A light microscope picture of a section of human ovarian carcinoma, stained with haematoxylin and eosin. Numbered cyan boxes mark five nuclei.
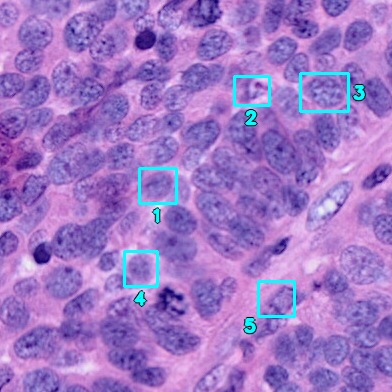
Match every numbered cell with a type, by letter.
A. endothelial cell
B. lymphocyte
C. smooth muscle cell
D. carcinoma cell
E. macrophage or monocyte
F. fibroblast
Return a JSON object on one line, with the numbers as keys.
{"1": "D", "2": "E", "3": "D", "4": "D", "5": "F"}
